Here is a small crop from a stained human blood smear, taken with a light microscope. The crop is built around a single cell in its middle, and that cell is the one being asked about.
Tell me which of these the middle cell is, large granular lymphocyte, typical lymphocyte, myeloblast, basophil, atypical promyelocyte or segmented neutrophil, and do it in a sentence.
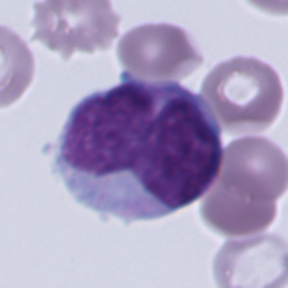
This crop is built around an atypical promyelocyte at its centre.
